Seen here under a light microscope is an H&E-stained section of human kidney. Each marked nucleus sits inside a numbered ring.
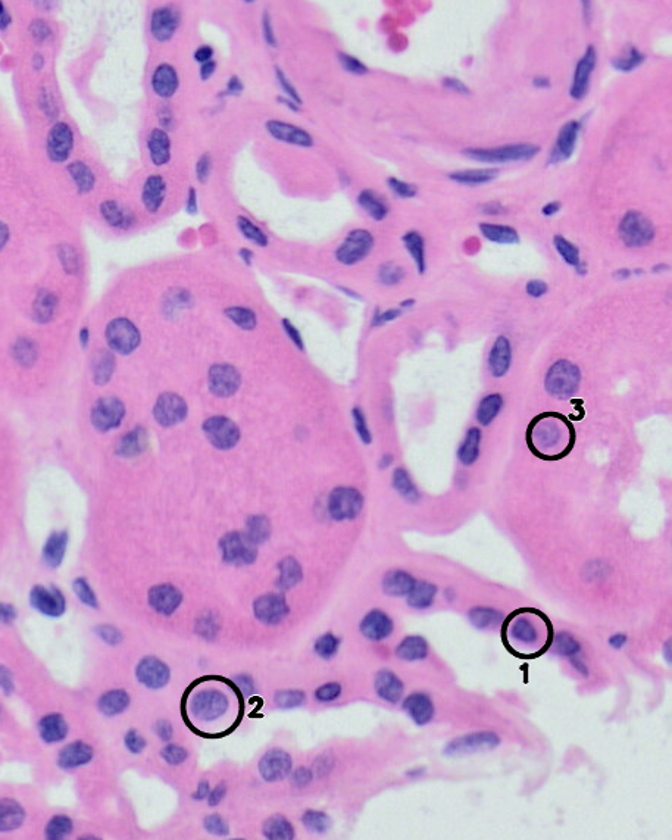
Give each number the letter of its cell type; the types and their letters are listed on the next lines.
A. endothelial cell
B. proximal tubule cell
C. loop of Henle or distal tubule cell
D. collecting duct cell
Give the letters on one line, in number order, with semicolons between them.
D; D; B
